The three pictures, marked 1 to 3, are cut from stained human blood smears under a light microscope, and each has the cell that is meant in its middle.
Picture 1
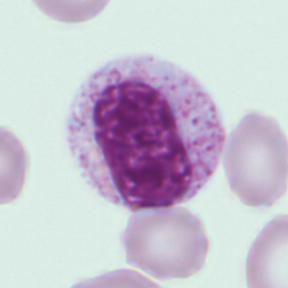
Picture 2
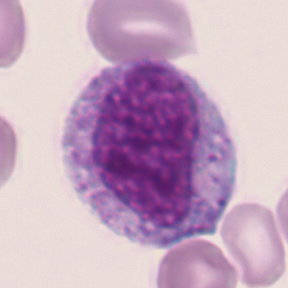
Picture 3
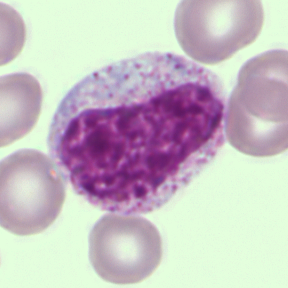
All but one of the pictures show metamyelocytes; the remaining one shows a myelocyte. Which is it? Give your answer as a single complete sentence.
Picture 2 is the one that shows the myelocyte.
